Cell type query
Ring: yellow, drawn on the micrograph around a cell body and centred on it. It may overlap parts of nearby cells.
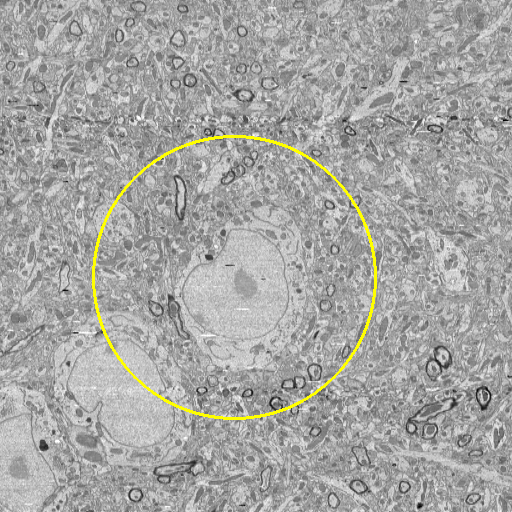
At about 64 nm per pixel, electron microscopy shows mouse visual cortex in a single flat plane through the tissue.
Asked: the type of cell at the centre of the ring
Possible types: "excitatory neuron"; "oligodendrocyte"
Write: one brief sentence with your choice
The ring marks an excitatory neuron.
